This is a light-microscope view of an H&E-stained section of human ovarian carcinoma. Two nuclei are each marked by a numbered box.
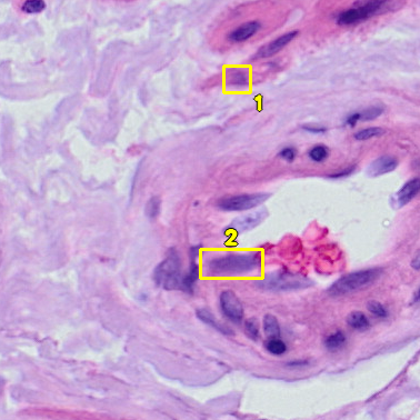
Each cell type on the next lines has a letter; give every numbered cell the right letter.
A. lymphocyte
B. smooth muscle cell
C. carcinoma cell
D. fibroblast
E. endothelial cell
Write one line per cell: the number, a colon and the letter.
1: B
2: E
